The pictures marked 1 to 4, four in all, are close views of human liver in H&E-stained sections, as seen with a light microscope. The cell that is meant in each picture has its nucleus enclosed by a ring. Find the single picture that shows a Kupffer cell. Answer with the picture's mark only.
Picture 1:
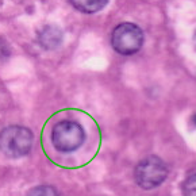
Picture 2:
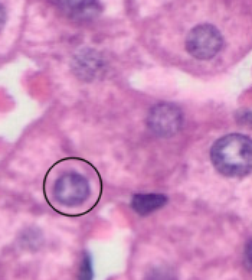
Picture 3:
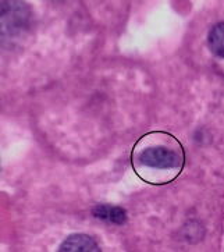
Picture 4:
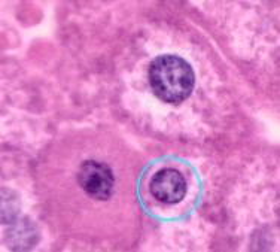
3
